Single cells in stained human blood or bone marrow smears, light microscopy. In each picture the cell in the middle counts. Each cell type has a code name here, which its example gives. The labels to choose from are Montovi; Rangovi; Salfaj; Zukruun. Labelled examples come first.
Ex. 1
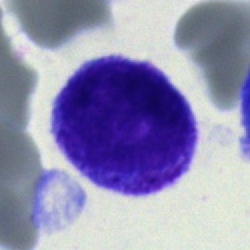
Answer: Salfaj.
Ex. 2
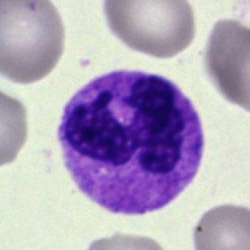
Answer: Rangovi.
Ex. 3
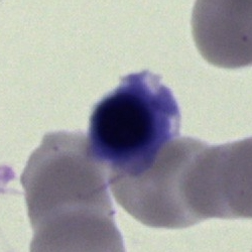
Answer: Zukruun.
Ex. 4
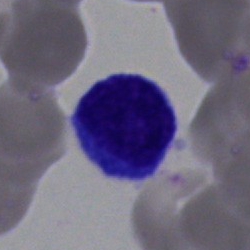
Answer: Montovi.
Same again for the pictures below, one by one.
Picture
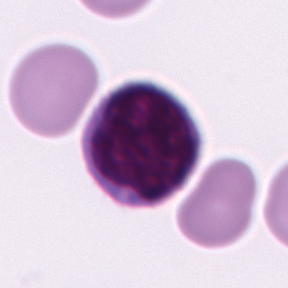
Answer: Montovi.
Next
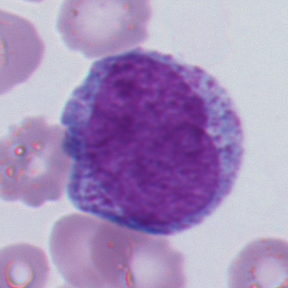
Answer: Salfaj.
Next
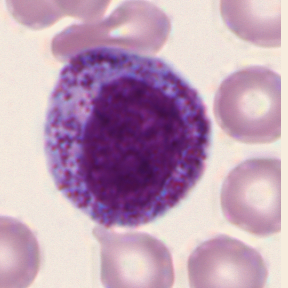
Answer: Salfaj.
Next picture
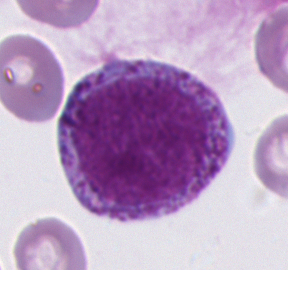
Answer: Salfaj.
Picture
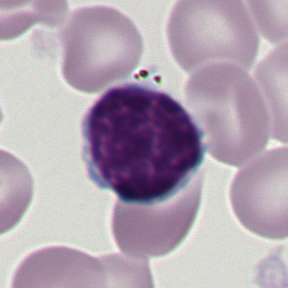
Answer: Montovi.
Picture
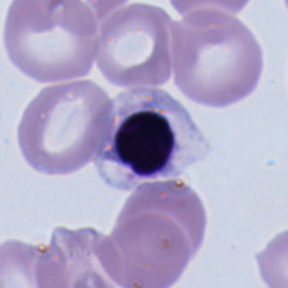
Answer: Zukruun.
